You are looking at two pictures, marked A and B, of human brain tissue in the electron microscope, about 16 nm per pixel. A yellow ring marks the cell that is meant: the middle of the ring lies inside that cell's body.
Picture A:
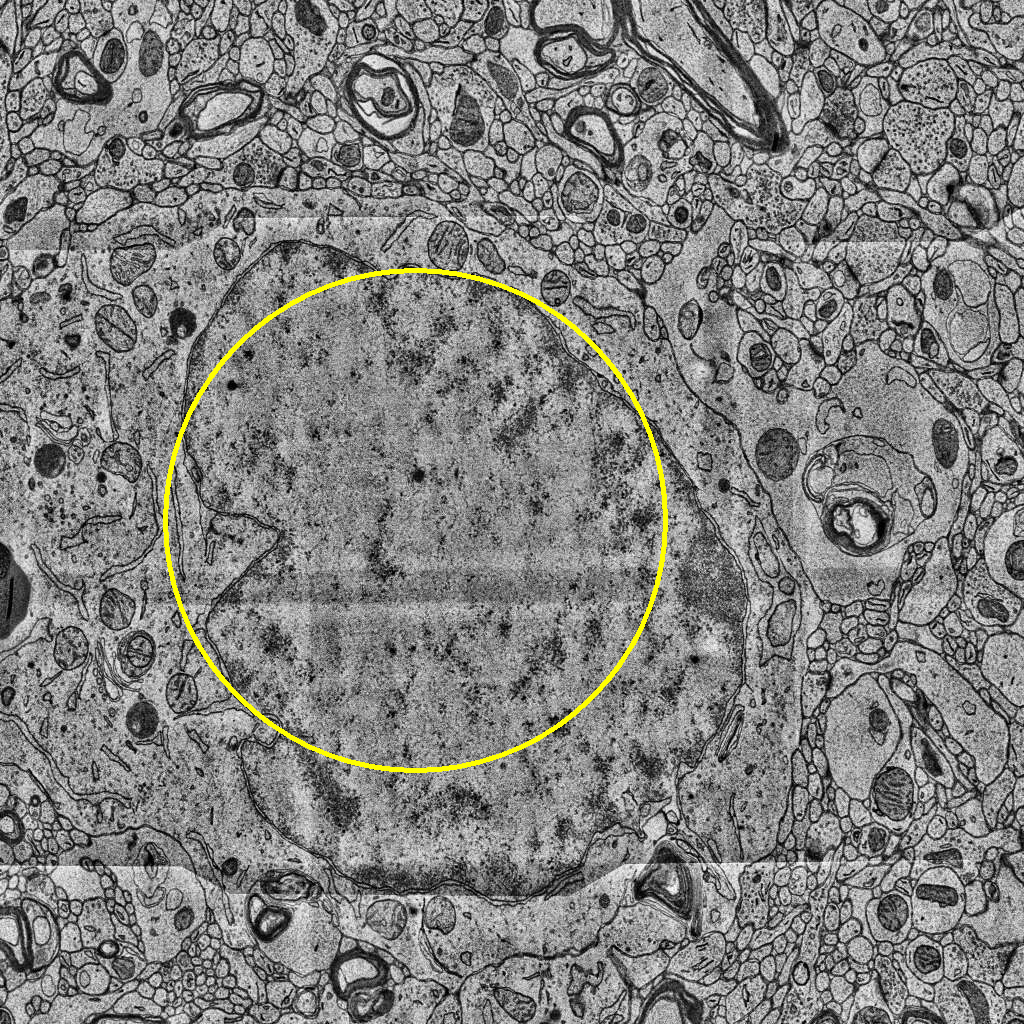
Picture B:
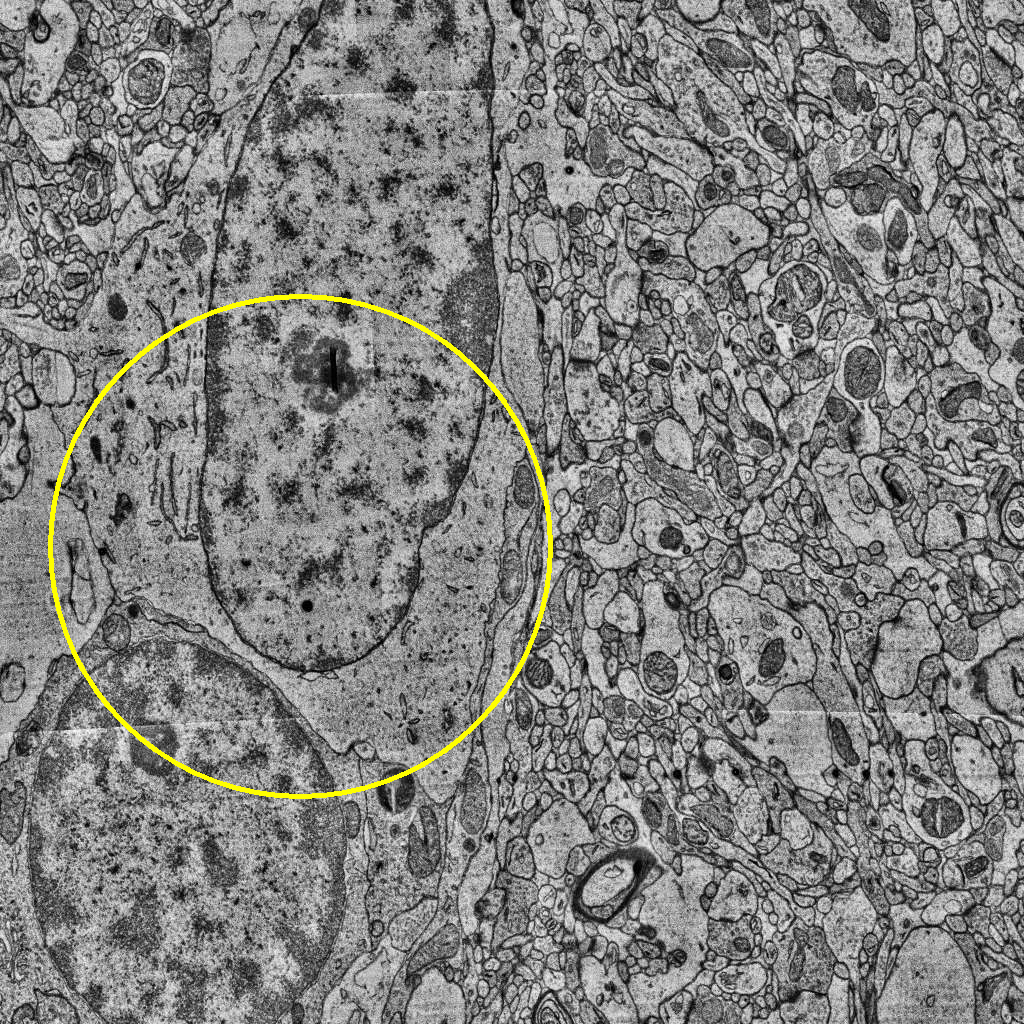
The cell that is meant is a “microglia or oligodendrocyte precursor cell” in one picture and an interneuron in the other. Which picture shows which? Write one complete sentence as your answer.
The cell in picture A is an interneuron, and the one in picture B is a “microglia or oligodendrocyte precursor cell”.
